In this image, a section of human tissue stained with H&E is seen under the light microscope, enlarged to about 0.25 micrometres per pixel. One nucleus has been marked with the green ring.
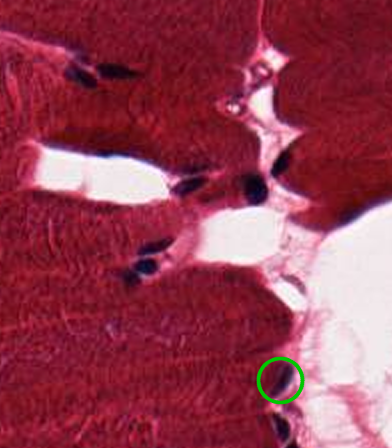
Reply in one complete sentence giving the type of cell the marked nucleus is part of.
The nucleus picked out by the mark is that of a skeletal muscle fibre.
